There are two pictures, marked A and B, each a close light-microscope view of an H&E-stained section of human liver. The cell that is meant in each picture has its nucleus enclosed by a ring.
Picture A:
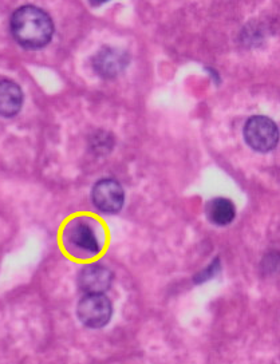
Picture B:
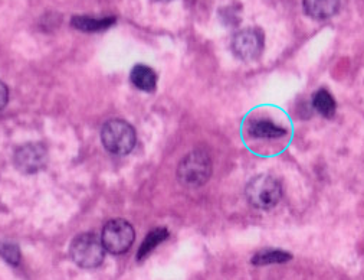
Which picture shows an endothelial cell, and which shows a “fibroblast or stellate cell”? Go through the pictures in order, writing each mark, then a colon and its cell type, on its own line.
A: fibroblast or stellate cell
B: endothelial cell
